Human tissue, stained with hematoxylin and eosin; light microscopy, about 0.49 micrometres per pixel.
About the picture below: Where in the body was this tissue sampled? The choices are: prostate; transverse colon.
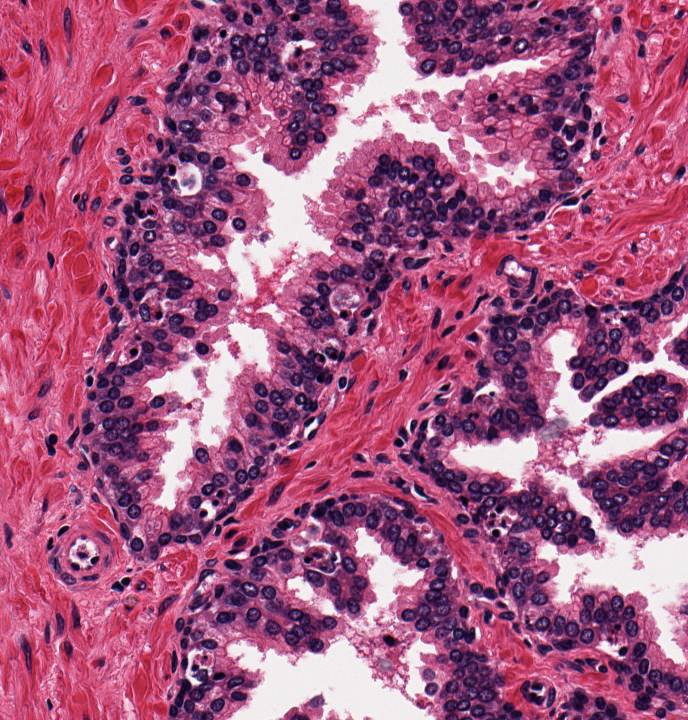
prostate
